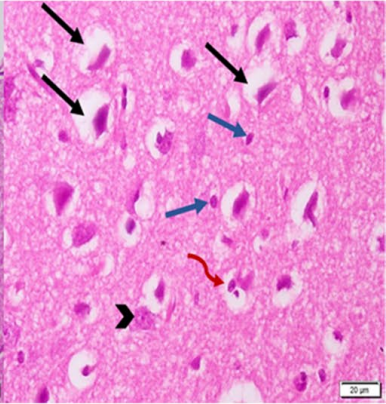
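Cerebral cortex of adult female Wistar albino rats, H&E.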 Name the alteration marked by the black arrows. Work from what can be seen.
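The marked cells are angular and deeply stained. Each lies within a wide clear space.
Conclusion: degenerated pyramidal cells with pericellular halo and dark nuclei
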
